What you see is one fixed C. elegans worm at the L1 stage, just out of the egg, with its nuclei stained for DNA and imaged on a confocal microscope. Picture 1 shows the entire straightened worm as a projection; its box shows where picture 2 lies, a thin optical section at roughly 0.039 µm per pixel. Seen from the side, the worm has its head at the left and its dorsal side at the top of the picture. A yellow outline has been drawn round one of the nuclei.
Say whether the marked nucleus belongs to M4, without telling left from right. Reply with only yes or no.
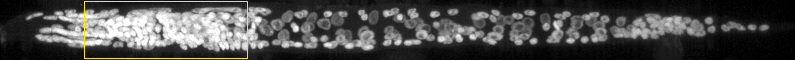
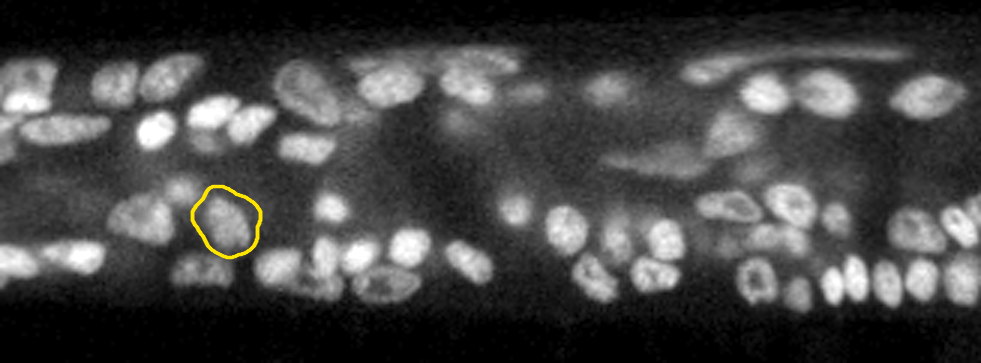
no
